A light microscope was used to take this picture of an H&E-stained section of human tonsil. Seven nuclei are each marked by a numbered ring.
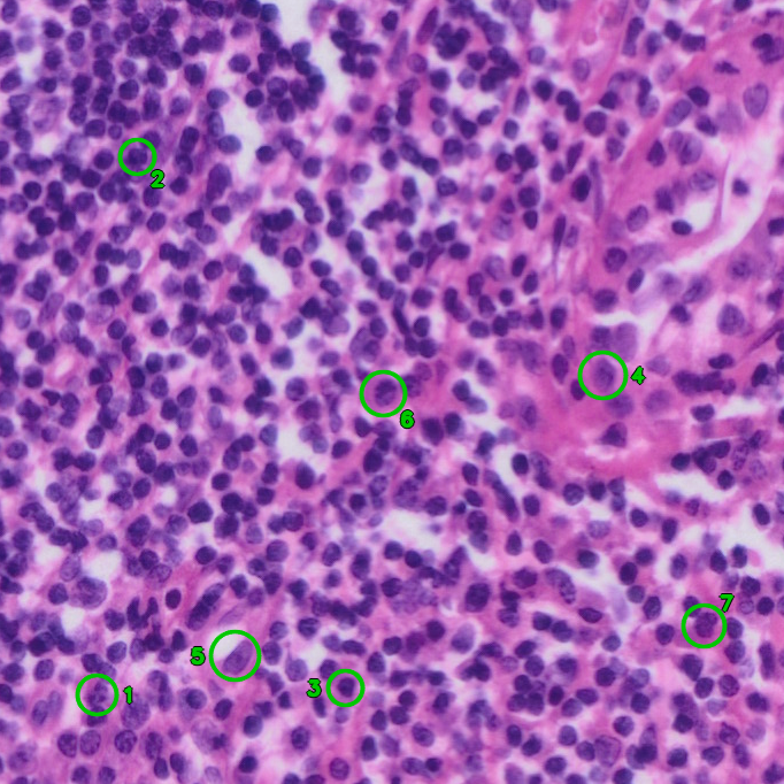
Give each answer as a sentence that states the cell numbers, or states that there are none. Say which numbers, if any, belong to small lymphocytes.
A single numbered cell, cell 2, is a small lymphocyte.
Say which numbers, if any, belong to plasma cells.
On this slide, the cells numbered 1, 3, 6 and 7 are plasma cells.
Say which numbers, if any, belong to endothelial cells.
Only the cell carrying number 5 is an endothelial cell.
